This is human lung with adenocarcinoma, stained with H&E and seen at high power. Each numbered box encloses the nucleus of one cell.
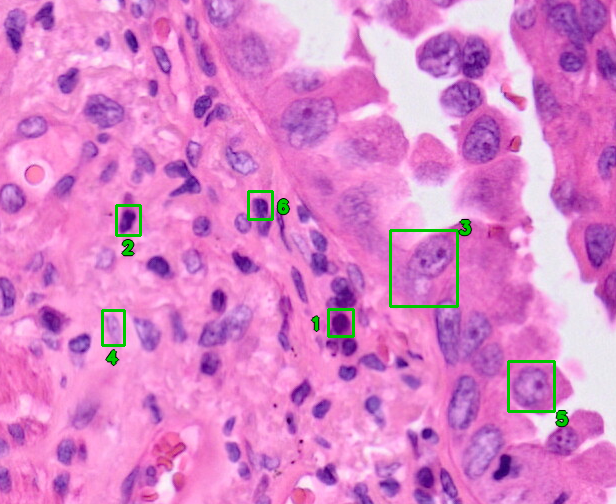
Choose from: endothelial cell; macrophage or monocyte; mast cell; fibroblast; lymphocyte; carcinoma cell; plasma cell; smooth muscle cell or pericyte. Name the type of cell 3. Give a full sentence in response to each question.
Within this field of view, the cell labelled 3 is a carcinoma cell.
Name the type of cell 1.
Among the marked nuclei, number 1 belongs to a plasma cell.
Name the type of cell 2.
The marked cell with the number 2 is recognised as a plasma cell.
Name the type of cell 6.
The cell bearing label 6 corresponds to a lymphocyte.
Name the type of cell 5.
Number 5 is placed on a carcinoma cell here.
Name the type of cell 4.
The cell indicated with the number 4 is classed as a fibroblast.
